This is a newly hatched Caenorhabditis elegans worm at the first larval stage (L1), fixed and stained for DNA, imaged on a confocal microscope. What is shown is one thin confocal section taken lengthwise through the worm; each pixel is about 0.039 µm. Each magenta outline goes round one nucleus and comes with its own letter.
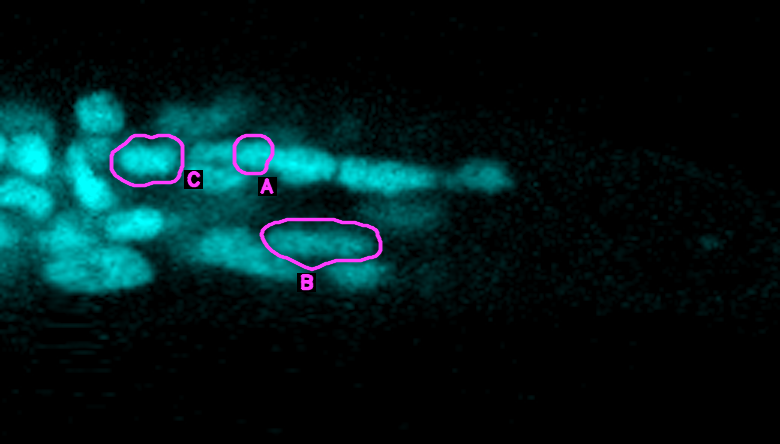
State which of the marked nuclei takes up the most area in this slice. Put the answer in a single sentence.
B has the largest area in this section.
